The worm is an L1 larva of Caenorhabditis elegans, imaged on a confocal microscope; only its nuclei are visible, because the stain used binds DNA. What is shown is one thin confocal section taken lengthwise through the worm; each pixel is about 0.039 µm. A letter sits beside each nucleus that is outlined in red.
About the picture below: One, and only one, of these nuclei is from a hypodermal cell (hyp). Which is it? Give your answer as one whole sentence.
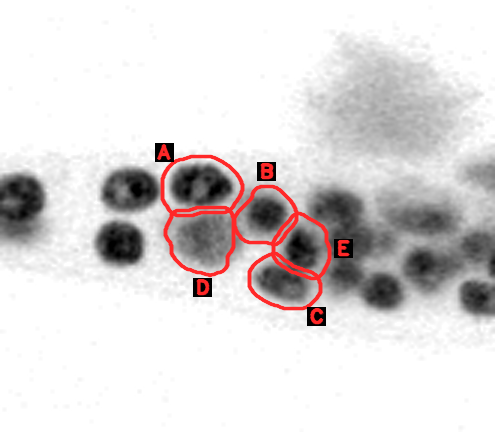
A is the one that belongs to a hypodermal cell (hyp).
